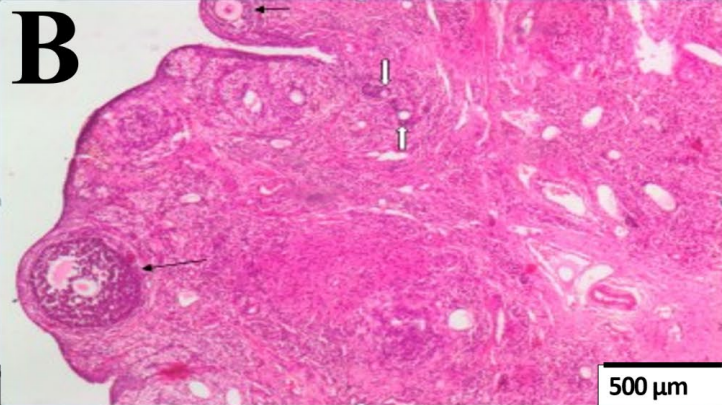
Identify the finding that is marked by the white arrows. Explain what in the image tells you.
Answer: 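Degenerated follicles. Small irregular structures with few cells and clear spaces. They lie scattered in dense pink stroma.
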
